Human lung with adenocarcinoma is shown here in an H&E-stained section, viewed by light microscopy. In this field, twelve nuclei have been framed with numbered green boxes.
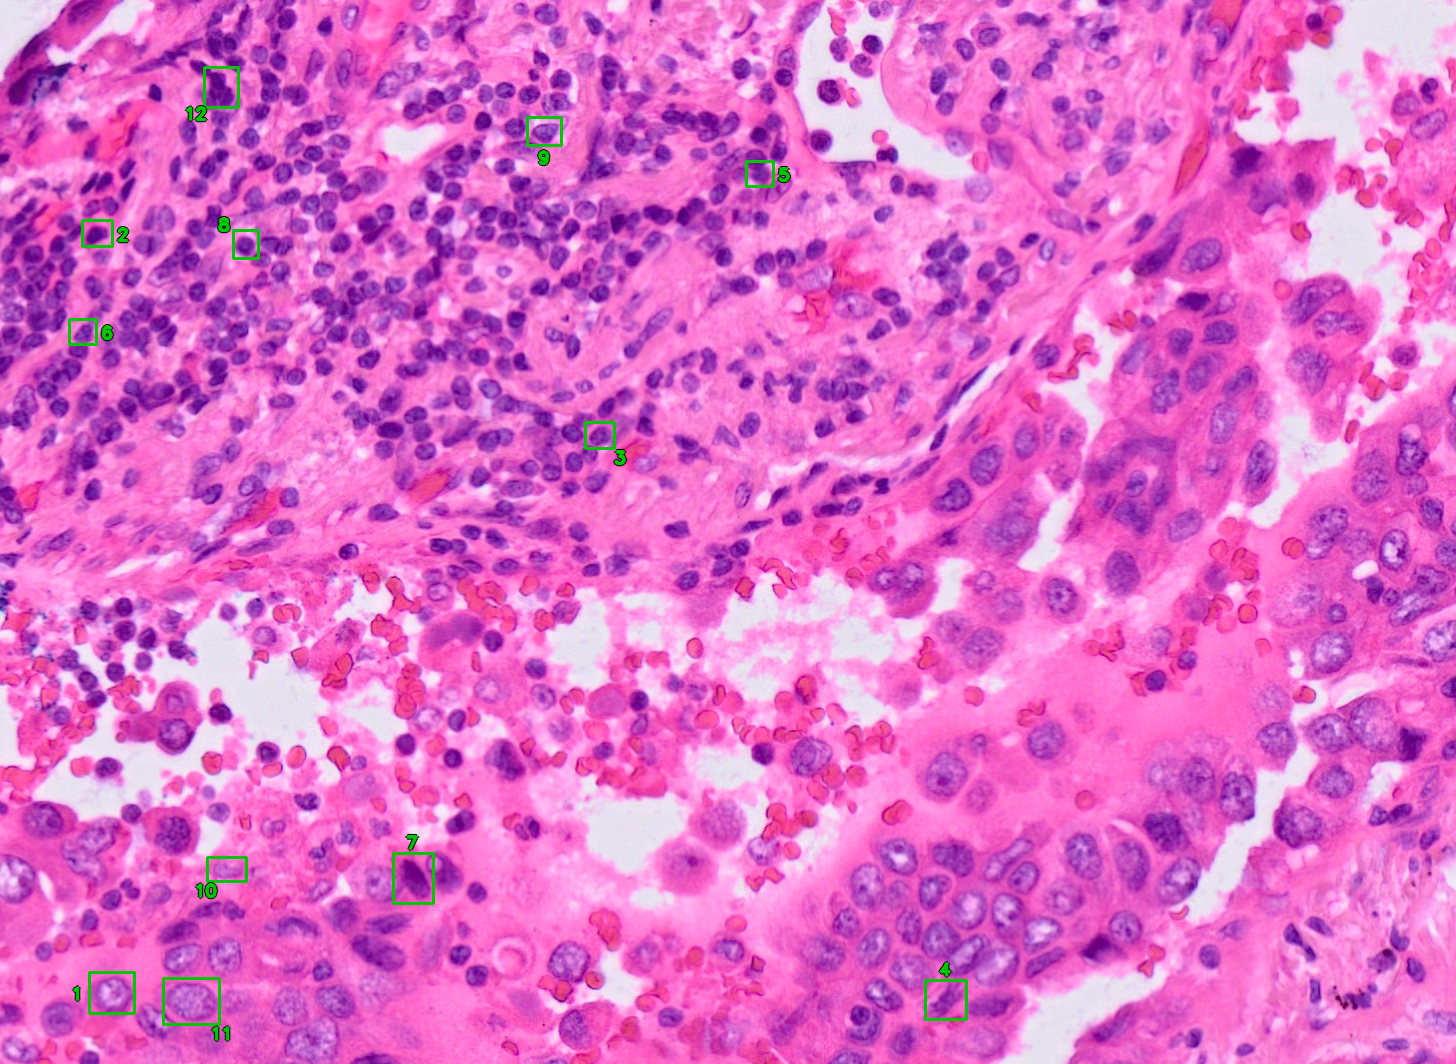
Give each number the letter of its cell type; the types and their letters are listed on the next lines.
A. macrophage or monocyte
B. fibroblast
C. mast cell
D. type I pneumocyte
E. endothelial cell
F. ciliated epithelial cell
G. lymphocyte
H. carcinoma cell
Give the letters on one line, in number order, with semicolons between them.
H; G; G; H; G; G; H; G; G; A; H; G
